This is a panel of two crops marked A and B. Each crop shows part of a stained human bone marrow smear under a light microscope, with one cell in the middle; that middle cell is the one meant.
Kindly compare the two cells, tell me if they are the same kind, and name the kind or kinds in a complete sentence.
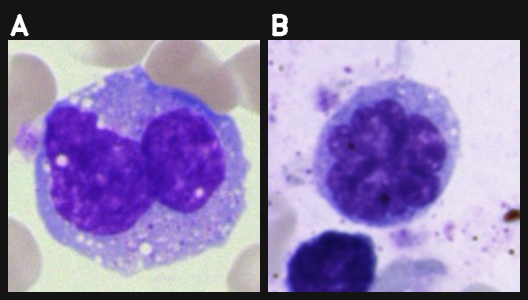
Yes, monocytes are centred in both crops.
